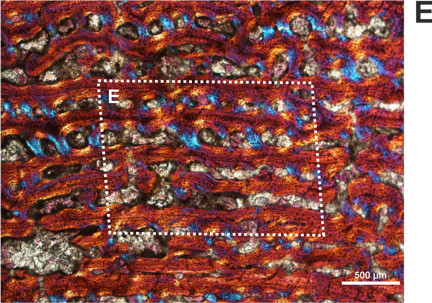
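Horizontal bands of orange-red bone alternate with rows of elongated and rounded canals running parallel to one another in a circumferential arrangement. In places the bone between adjacent canals is missing, so neighbouring channels join into wider irregular cavities. Many spaces are filled with pale whitish crystalline material, with darker brown infill in some. Blue interference colours outline parts of the canal walls, and fine dark dots, the bone cell lacunae, are visible within the orange matrix.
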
